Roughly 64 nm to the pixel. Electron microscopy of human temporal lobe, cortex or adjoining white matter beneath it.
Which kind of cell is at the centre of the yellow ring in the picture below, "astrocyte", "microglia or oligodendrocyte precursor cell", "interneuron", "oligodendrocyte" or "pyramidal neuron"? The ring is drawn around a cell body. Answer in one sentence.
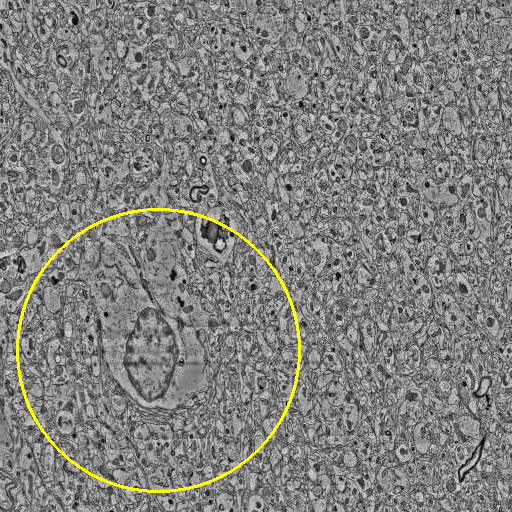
The ring's central cell is an astrocyte.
